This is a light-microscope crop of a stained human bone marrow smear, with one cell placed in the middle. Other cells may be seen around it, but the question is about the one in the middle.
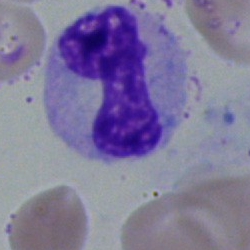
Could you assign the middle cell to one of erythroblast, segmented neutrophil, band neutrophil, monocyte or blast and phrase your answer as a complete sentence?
Here the cell in the middle is a band neutrophil.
